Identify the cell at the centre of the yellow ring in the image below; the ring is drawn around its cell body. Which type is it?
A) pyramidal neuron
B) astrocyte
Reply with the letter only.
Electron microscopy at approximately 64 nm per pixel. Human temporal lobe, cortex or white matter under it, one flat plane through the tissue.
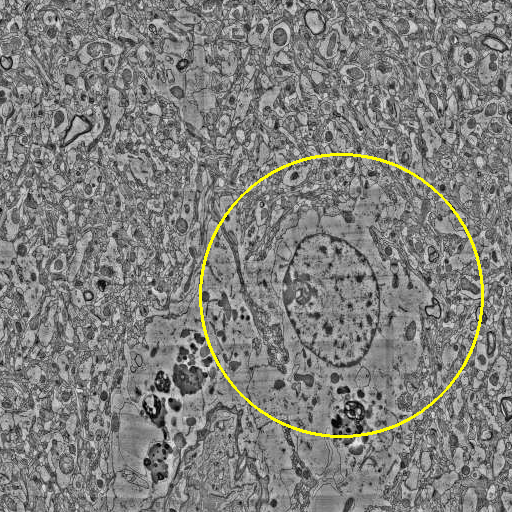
B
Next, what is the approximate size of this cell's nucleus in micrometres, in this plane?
The nucleus has a long axis of about 9 micrometres and a short axis of about 6 micrometres in this plane.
